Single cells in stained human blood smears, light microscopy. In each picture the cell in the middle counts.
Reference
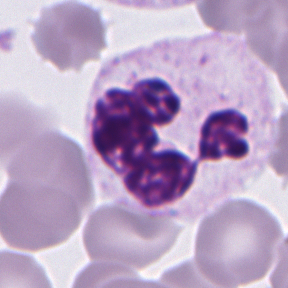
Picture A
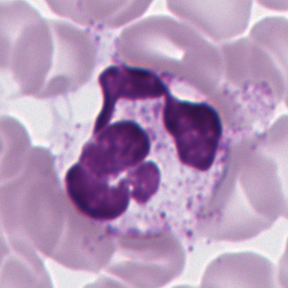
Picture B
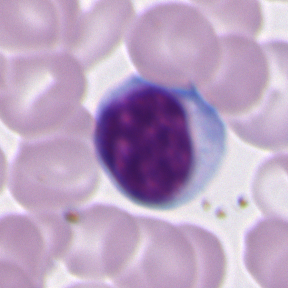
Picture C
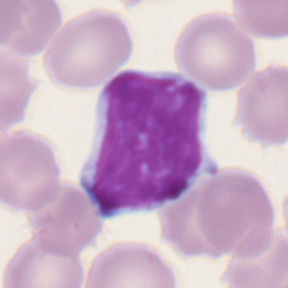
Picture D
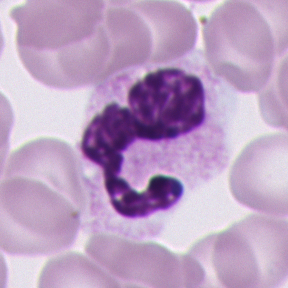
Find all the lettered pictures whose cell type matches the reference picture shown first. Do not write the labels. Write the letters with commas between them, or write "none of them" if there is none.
A, D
